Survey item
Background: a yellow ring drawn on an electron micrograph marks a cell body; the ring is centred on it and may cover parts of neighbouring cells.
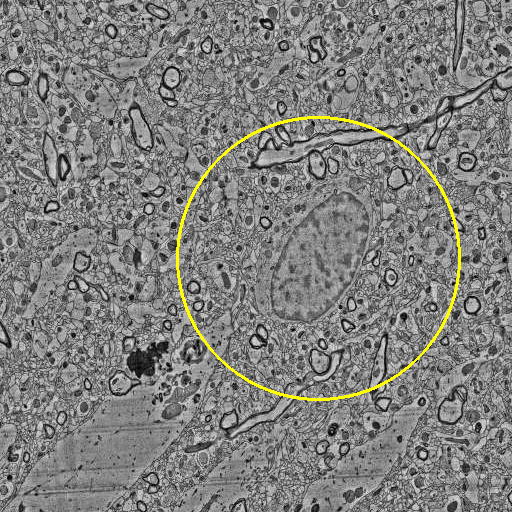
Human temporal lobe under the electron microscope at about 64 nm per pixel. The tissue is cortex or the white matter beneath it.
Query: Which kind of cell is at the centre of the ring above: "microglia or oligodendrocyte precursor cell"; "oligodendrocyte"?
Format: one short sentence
The cell in the middle of the ring is an oligodendrocyte.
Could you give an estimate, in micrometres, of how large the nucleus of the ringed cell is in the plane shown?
The nucleus comes to approximately 9 by 5 micrometres and is clearly longer than it is wide in this plane.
